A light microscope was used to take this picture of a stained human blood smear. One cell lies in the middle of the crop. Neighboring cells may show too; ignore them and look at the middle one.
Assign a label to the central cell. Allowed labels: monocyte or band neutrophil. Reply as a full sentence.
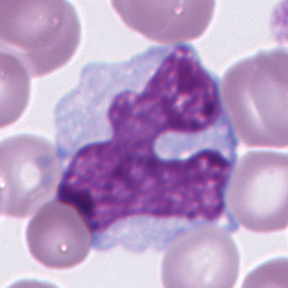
For this crop, the central cell is a monocyte.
